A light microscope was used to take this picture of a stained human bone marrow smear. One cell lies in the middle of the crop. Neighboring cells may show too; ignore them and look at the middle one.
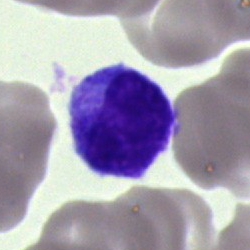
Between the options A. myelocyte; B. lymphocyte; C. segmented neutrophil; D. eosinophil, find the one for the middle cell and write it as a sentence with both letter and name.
Option B is the correct option, with the middle cell being a lymphocyte.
